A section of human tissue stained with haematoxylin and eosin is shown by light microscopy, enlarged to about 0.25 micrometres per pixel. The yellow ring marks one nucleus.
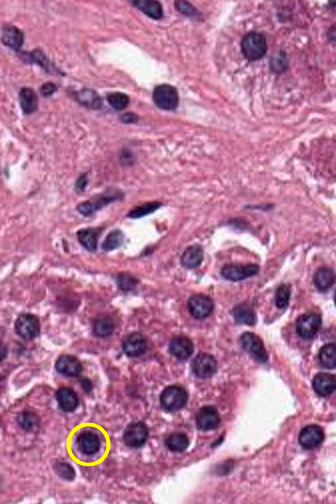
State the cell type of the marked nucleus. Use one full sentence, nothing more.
The mark identifies the nucleus of an adrenal cortical cell.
